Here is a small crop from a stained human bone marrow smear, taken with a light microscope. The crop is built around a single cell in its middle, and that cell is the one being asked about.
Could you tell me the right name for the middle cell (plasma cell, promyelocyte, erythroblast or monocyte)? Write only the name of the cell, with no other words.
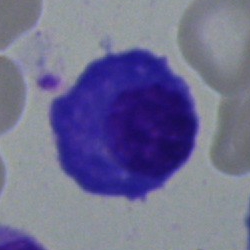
plasma cell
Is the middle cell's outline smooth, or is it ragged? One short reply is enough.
The margin of this cell is irregular, showing raggedness or projections instead of smoothness.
